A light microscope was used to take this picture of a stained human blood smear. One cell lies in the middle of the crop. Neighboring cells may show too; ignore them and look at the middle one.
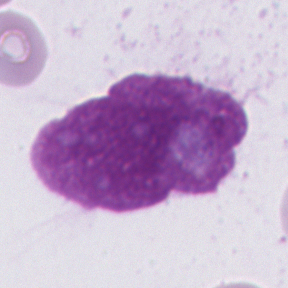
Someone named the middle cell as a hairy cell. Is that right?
no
